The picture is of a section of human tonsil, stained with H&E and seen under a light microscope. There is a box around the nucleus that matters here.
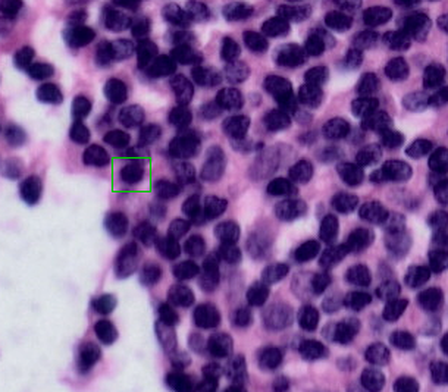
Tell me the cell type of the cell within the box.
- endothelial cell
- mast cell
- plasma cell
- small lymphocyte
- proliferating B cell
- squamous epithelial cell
small lymphocyte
